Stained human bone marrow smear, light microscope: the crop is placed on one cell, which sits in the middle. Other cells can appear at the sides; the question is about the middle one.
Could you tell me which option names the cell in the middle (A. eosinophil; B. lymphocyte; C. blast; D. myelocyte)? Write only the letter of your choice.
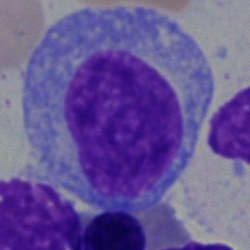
C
